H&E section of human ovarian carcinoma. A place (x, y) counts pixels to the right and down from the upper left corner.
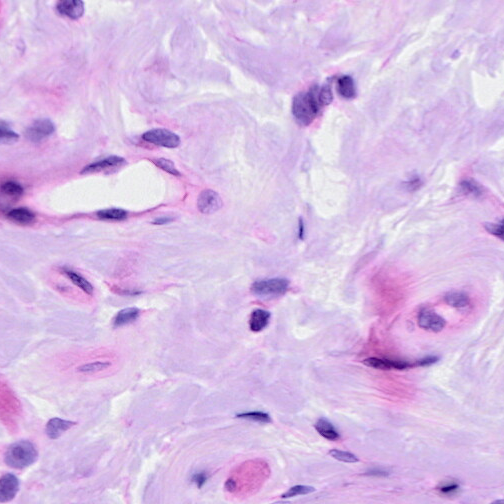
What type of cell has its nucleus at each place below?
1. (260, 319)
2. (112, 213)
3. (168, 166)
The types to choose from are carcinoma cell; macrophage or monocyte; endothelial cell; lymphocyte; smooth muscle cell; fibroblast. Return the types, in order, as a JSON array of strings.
["lymphocyte", "endothelial cell", "endothelial cell"]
